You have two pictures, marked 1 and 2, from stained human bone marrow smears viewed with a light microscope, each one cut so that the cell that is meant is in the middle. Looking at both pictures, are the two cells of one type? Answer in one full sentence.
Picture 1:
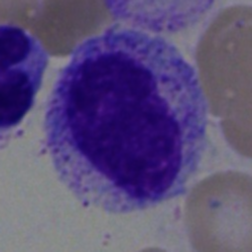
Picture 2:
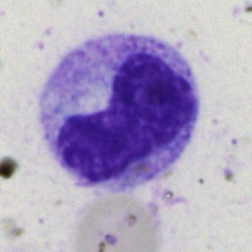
Yes, they are the same type: both are metamyelocytes.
